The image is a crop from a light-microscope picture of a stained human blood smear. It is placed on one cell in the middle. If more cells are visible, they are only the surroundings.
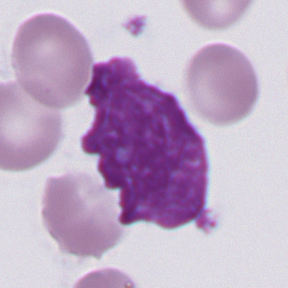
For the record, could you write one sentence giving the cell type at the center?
The central cell in this smear crop is a smudge cell.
